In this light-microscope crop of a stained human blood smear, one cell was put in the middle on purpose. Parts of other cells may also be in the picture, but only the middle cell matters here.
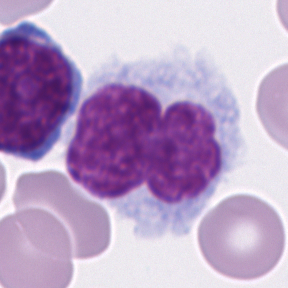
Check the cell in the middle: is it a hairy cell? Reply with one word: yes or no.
yes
